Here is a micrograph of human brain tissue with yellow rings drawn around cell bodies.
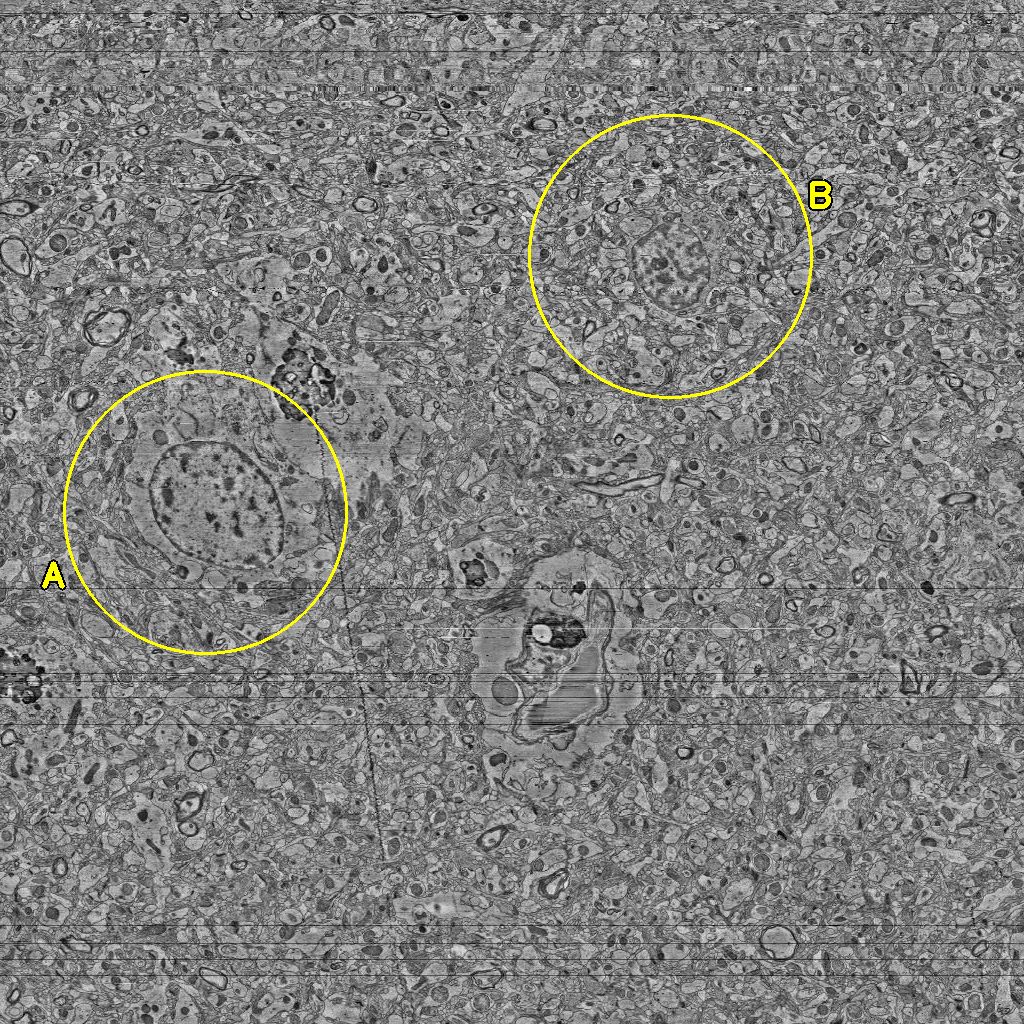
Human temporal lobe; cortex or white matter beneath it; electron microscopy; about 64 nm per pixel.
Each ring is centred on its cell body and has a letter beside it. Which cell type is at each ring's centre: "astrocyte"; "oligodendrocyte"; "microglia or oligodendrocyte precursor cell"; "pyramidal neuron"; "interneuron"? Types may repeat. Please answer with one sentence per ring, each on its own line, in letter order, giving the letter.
Ring A shows an astrocyte at its centre.
Ring B shows an oligodendrocyte at its centre.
